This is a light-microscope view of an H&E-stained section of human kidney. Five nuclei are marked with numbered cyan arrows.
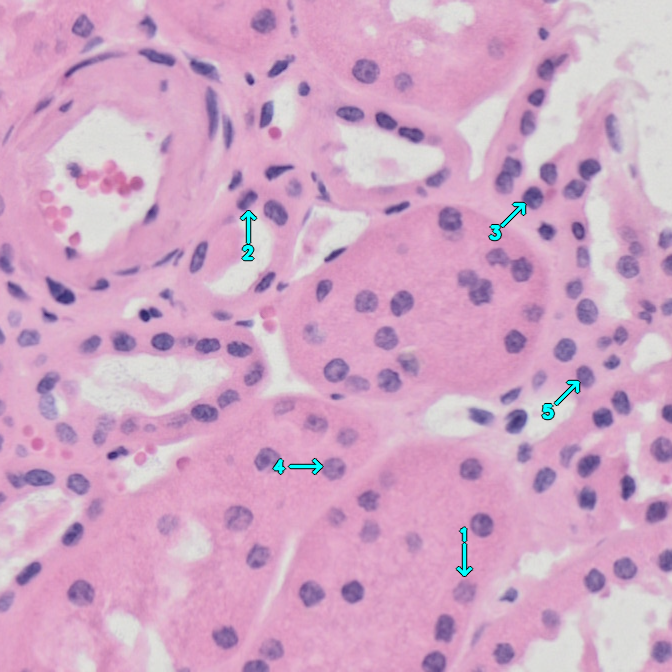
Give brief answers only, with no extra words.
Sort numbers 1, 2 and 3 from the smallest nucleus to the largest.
2, 3, 1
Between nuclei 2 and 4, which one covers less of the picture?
2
